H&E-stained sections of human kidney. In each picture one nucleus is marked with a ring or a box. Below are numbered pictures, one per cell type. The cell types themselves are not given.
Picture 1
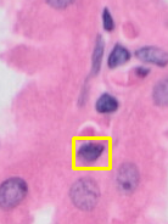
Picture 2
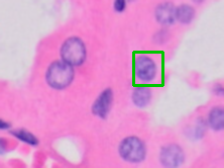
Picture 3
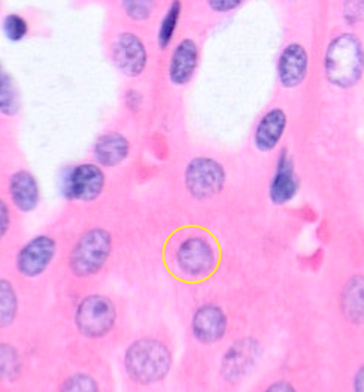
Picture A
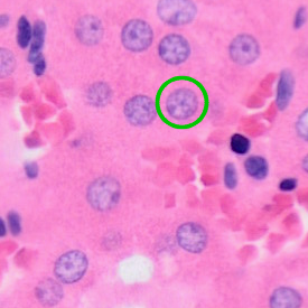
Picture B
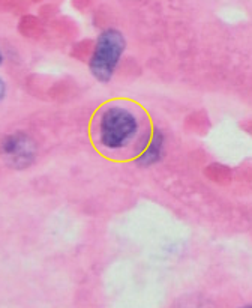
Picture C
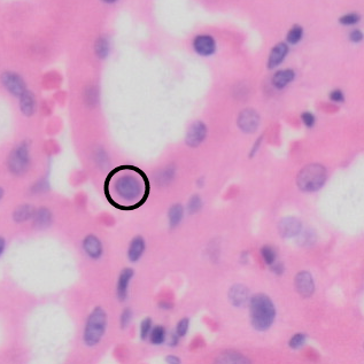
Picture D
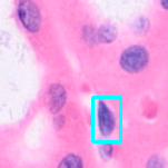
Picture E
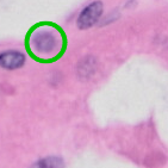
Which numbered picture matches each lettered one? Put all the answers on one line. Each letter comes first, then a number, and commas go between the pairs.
A 3, B 3, C 2, D 1, E 2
